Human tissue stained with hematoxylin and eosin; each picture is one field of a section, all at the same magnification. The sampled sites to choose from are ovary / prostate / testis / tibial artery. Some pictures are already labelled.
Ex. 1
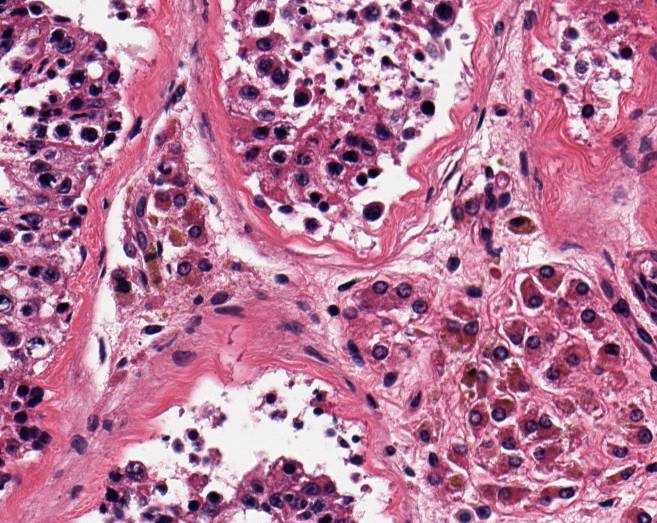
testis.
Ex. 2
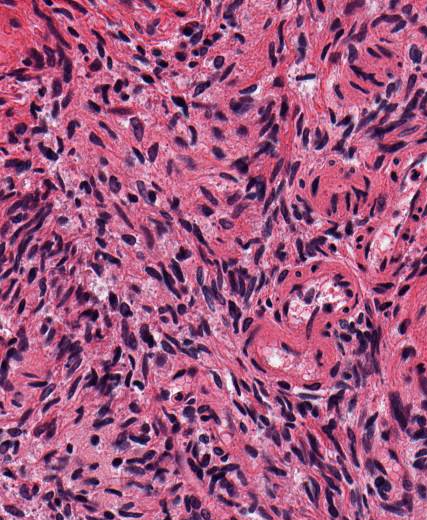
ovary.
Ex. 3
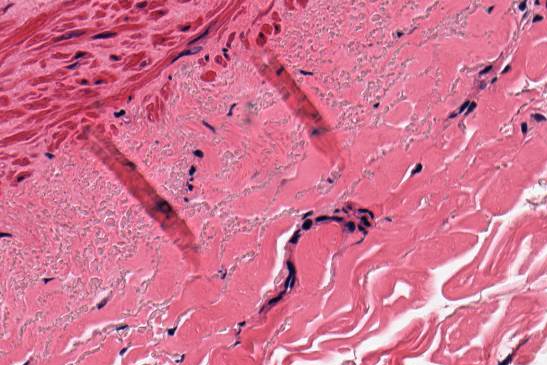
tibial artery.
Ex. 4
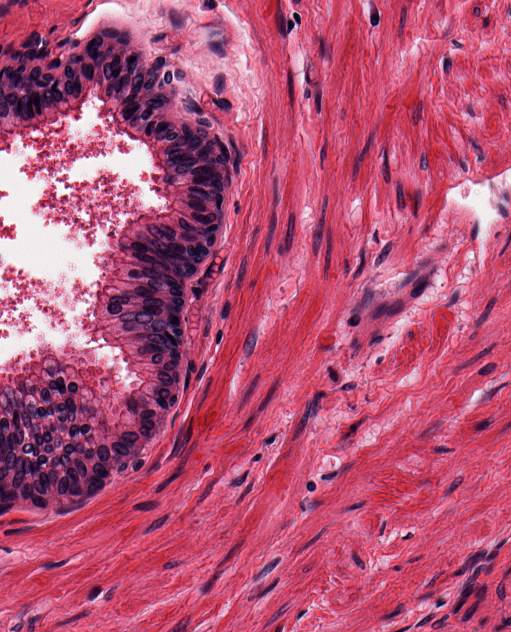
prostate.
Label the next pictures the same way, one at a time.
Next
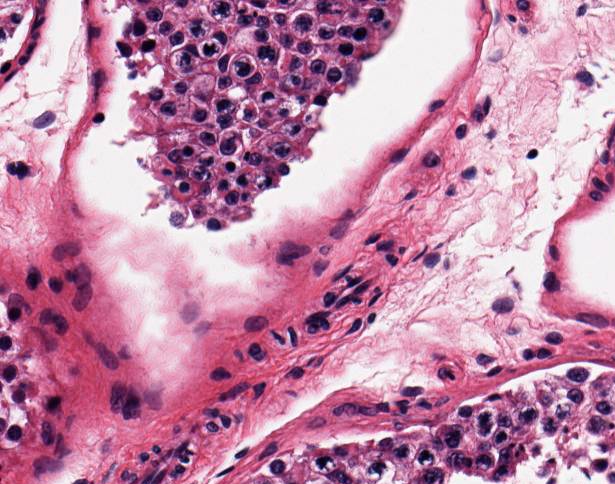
testis.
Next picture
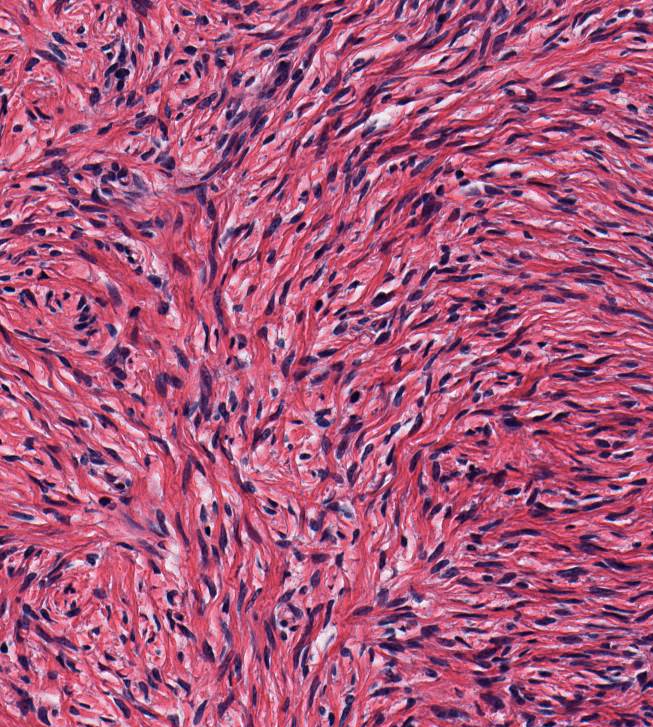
ovary.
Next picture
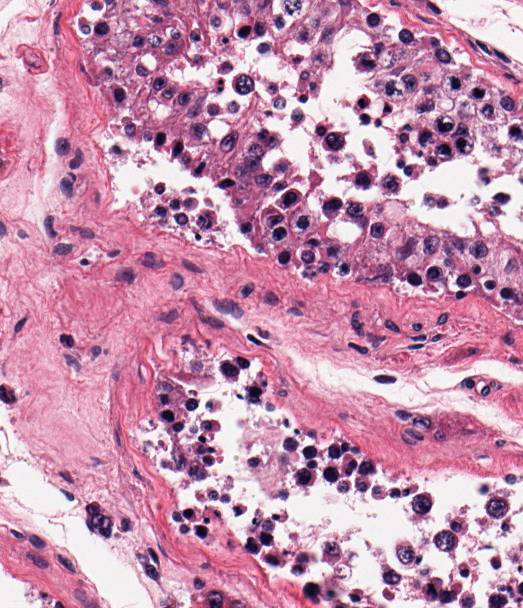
testis.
